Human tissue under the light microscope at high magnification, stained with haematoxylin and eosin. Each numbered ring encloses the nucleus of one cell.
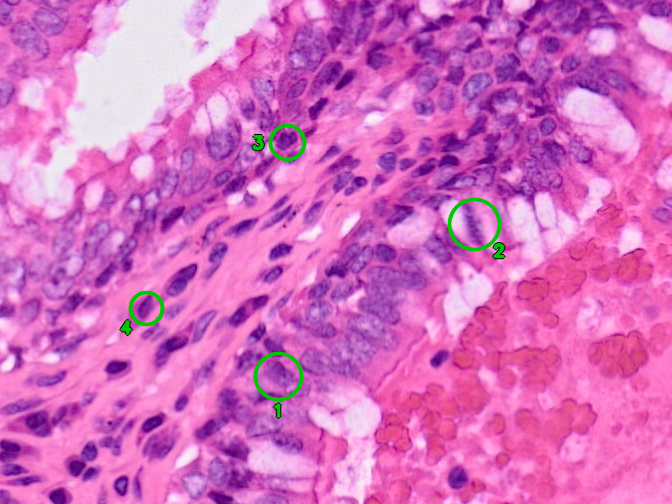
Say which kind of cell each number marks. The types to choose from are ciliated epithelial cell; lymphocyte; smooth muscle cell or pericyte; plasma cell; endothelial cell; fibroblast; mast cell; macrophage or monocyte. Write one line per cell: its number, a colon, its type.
1: ciliated epithelial cell
2: ciliated epithelial cell
3: ciliated epithelial cell
4: plasma cell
